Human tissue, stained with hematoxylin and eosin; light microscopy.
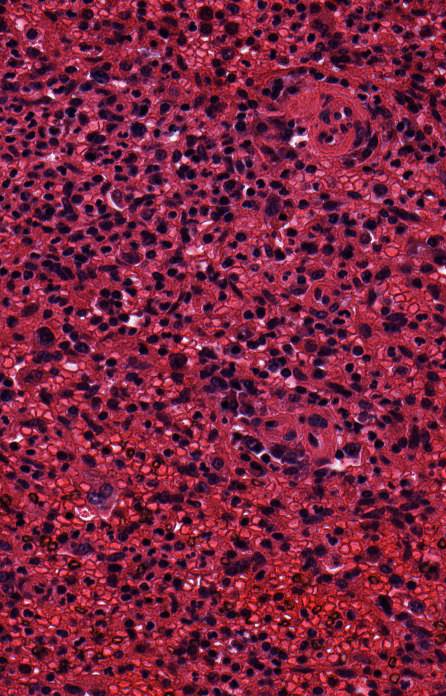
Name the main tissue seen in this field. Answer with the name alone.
red pulp of the spleen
